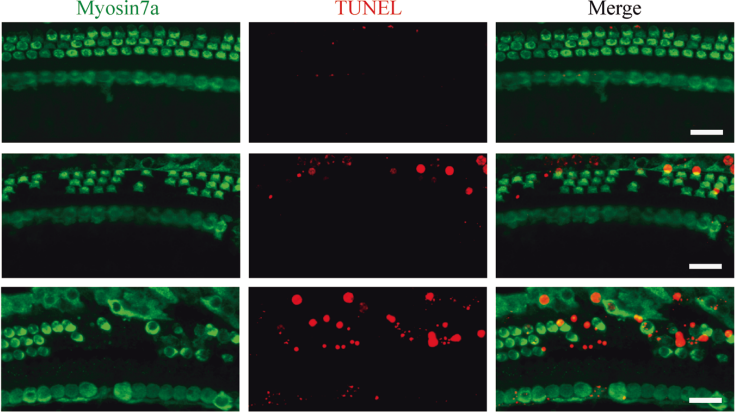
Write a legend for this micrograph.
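In the top row, the small outer hair cells form orderly, closely spaced rows with hardly any red dots. In the lower two rows, the outer hair cell rows have gaps, and many round red bodies of varying size are scattered across the epithelium. Where red overlaps green cells in the overlay, it appears yellow to orange. The bottom row shows the most disorder, with swollen, irregular green cells and many large red bodies.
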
